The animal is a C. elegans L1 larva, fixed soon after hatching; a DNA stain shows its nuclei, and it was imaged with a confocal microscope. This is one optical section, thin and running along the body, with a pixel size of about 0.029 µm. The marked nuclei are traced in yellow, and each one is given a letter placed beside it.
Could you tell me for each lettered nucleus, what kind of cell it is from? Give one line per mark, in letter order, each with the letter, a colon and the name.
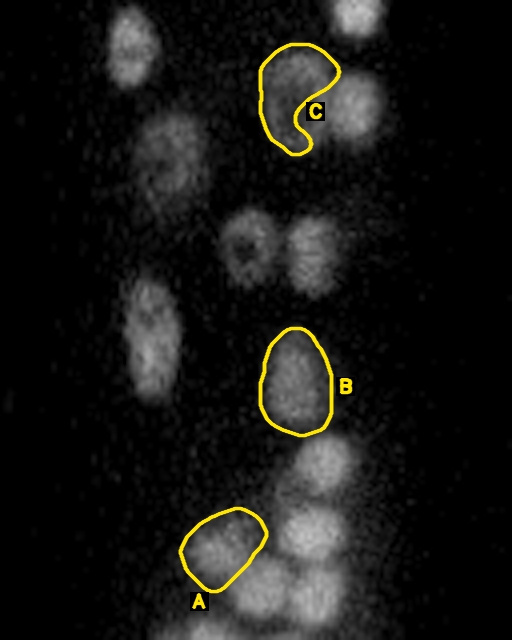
A: valve cell of the gut
B: enteric muscle cell
C: intestinal cell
